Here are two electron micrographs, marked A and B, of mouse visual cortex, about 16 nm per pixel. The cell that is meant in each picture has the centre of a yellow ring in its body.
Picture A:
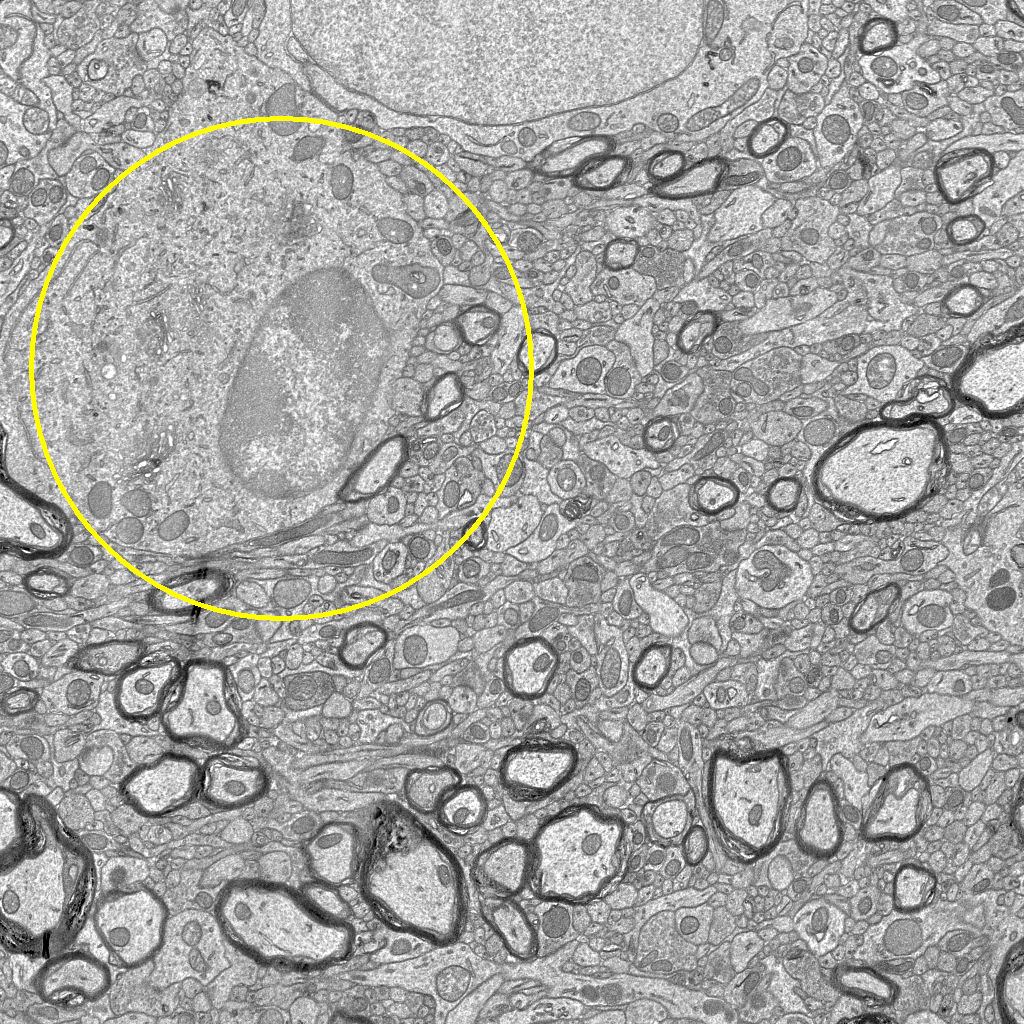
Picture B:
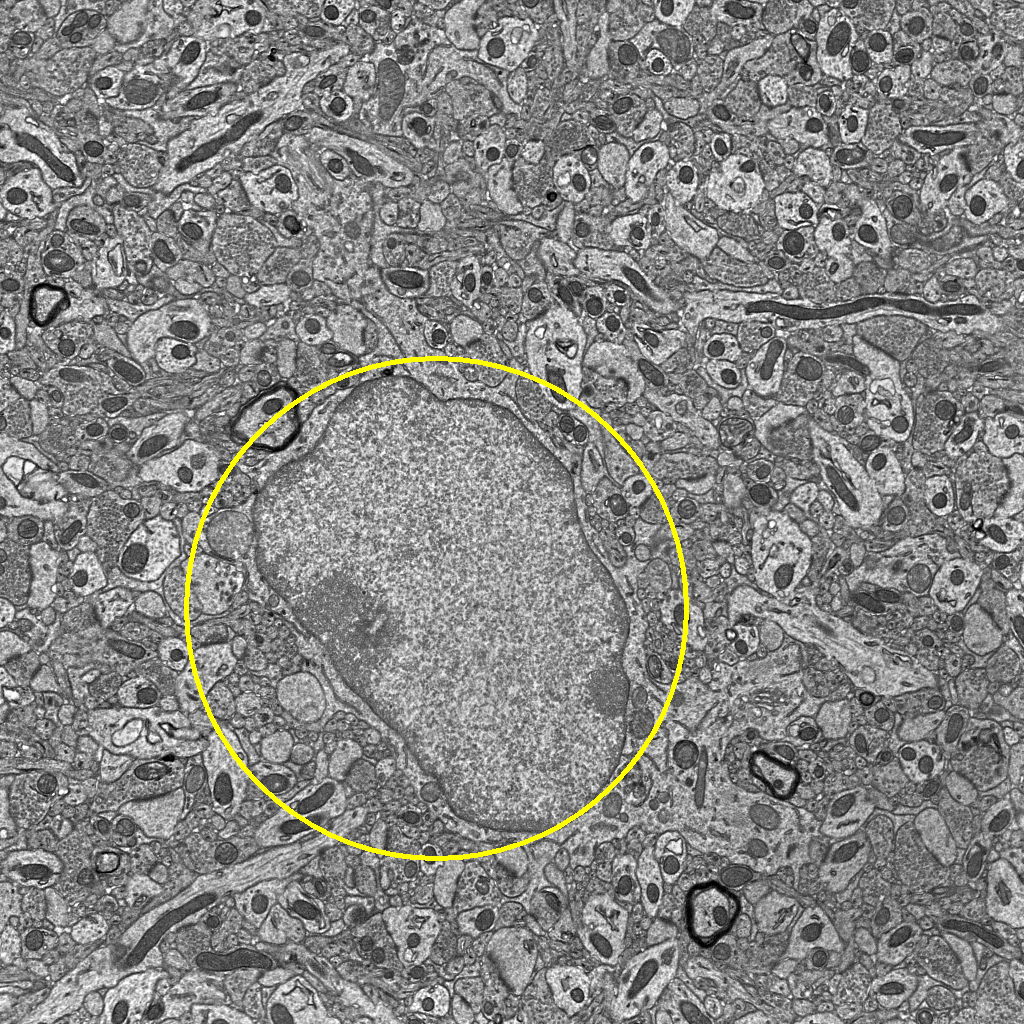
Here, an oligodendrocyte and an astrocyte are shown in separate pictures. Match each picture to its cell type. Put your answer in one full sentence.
It is picture A that shows an oligodendrocyte, and picture B that shows an astrocyte.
